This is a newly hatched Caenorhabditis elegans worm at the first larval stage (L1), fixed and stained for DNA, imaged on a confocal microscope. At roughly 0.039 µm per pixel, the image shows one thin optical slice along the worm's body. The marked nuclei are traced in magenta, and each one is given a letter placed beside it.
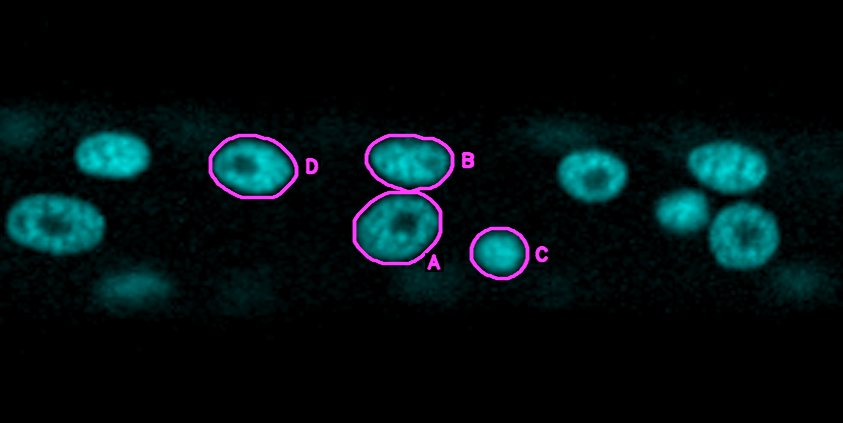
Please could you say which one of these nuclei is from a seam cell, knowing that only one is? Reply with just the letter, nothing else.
D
